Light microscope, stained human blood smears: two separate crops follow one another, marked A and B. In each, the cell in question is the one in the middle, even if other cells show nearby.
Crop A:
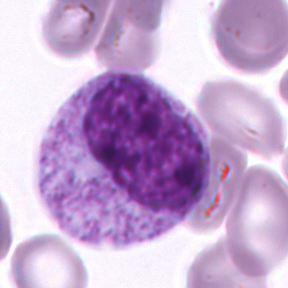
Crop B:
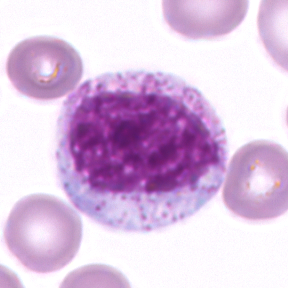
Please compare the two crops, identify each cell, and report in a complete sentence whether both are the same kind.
Yes, the cells in the centres of the two crops are metamyelocytes.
